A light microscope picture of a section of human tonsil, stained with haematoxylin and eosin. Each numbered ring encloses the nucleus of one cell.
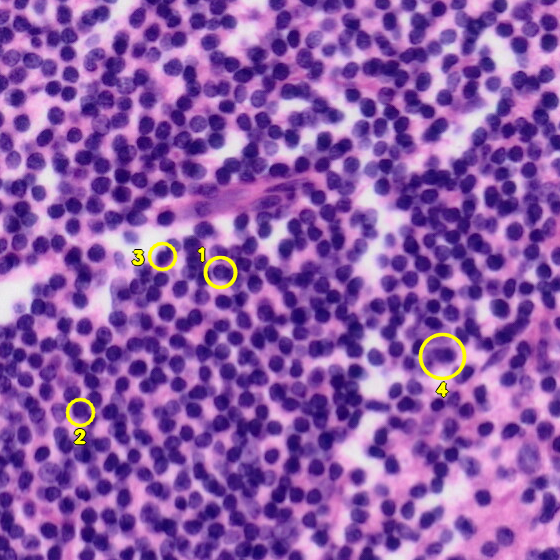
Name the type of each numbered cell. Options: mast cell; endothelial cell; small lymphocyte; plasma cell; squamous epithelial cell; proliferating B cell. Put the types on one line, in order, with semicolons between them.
small lymphocyte; small lymphocyte; small lymphocyte; proliferating B cell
